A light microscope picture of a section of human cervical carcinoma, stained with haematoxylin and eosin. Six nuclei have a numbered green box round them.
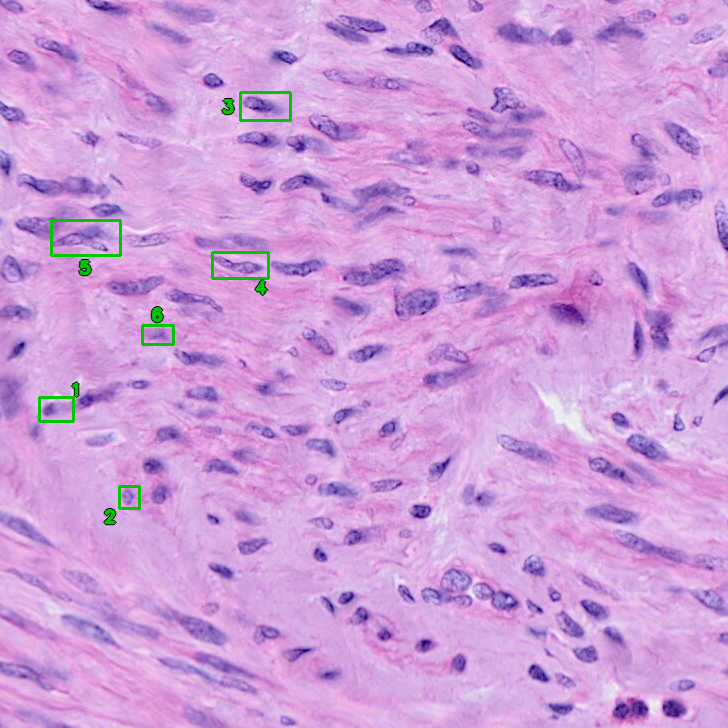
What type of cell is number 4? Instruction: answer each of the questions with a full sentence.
The correct answer for cell 4 is a smooth muscle cell.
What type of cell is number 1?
In the marked set, the cell given number 1 is a fibroblast.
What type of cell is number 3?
Denoted by the label 3 in the section is a fibroblast.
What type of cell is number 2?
Cell 2, as marked in the section, is a smooth muscle cell.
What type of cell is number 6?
Regarding cell 6, this one is a smooth muscle cell.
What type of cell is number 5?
Heads up, the cell numbered 5 is a fibroblast.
